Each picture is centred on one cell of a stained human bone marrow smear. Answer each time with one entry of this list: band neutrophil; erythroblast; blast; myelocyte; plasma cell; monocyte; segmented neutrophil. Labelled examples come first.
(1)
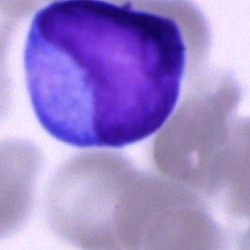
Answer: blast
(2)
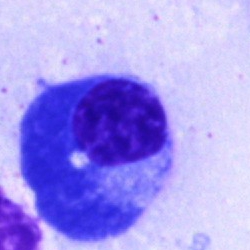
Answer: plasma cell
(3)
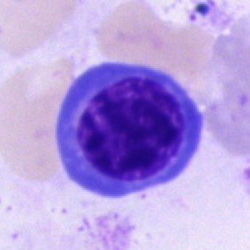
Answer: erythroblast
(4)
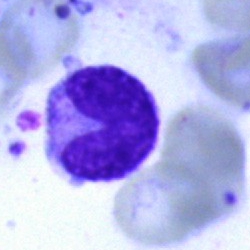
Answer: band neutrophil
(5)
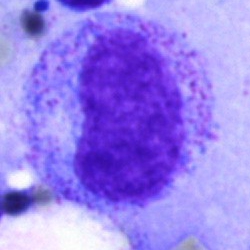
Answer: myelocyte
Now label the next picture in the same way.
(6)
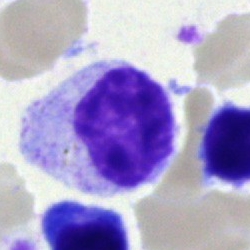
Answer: myelocyte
